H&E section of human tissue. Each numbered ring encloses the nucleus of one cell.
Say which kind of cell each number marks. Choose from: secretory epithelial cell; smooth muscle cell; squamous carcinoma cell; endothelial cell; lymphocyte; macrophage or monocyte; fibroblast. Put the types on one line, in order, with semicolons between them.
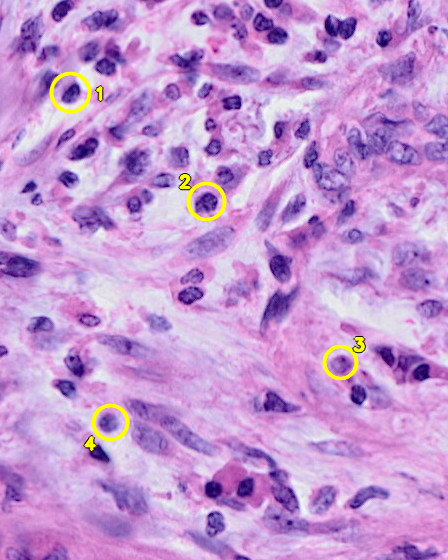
lymphocyte; lymphocyte; macrophage or monocyte; lymphocyte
